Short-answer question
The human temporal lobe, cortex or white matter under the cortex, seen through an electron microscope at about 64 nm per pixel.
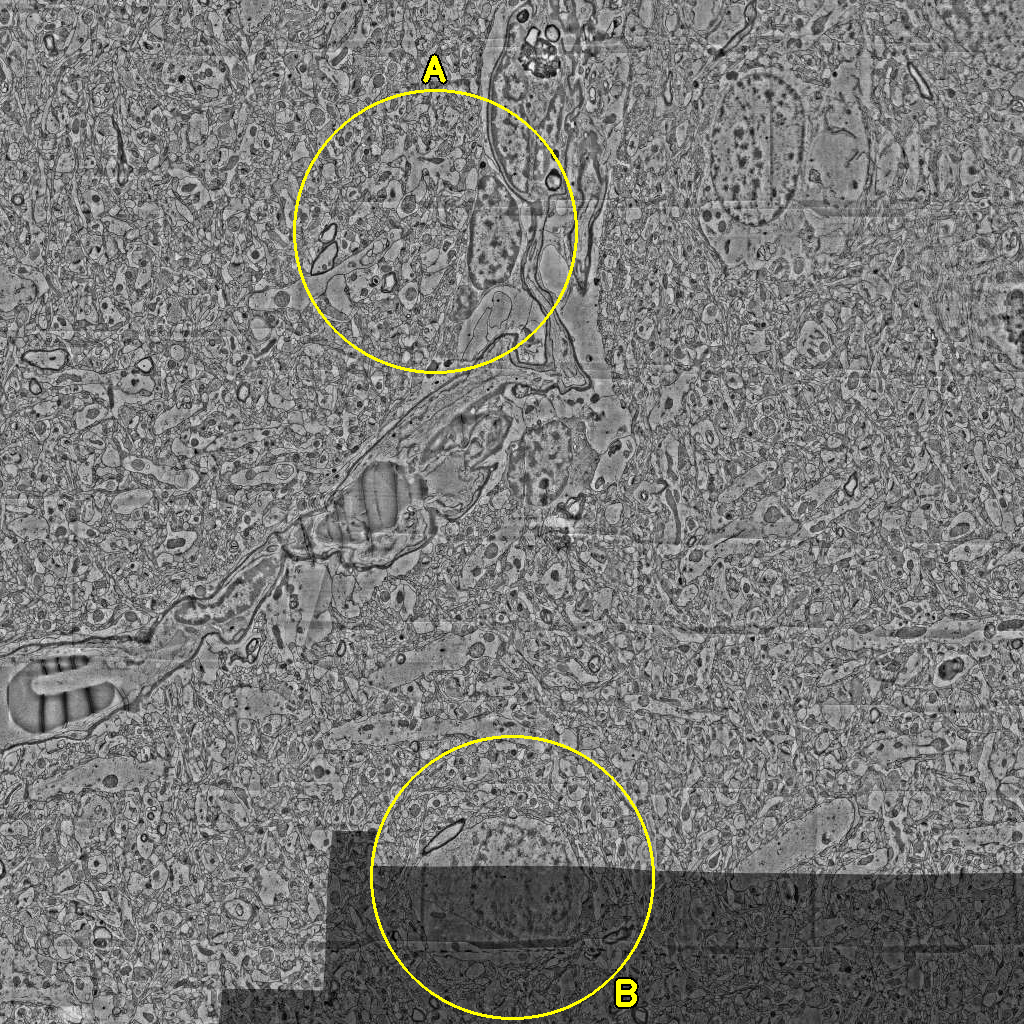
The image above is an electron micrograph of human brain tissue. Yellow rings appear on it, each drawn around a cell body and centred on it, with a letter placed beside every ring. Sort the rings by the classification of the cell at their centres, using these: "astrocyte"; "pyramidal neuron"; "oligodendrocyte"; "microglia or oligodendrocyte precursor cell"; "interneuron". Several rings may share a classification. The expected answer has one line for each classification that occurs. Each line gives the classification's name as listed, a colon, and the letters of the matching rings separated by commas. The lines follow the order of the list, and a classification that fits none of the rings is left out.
microglia or oligodendrocyte precursor cell: A
interneuron: B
